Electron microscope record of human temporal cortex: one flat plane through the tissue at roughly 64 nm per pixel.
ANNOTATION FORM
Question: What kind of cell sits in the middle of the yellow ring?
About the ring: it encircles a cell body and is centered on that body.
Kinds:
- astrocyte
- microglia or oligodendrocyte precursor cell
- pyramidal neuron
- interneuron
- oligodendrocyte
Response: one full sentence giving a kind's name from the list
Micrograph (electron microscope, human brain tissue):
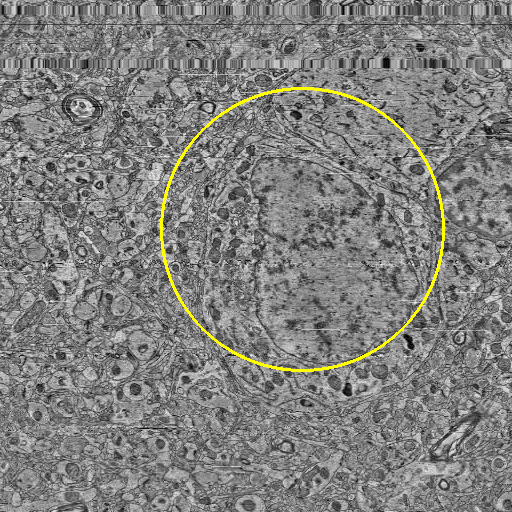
The kind of cell found at the center of the yellow ring in the micrograph is an interneuron.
